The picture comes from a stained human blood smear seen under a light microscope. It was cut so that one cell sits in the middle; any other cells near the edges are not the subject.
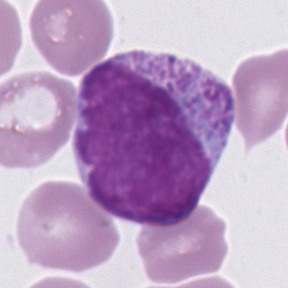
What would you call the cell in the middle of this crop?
promyelocyte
